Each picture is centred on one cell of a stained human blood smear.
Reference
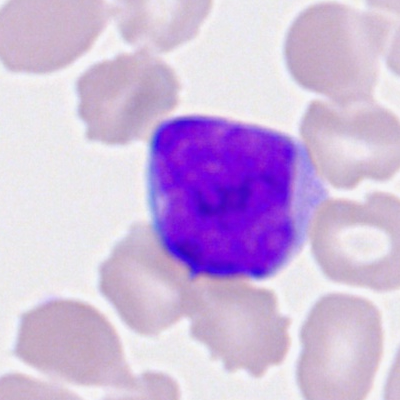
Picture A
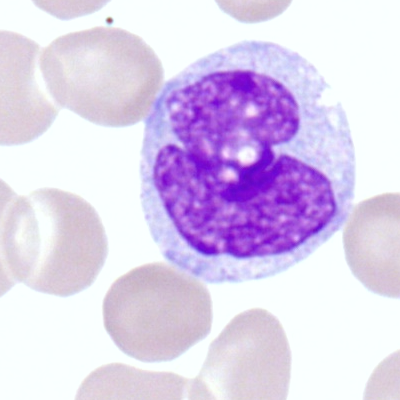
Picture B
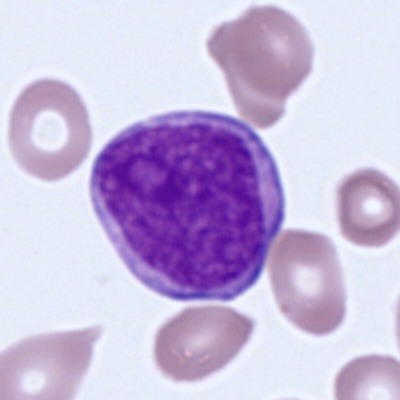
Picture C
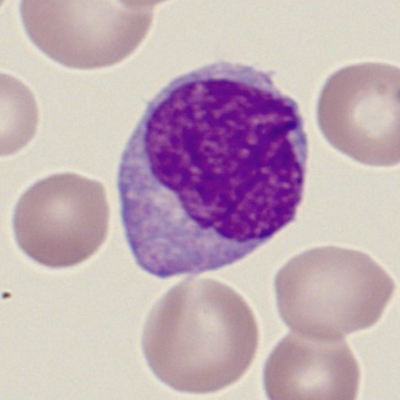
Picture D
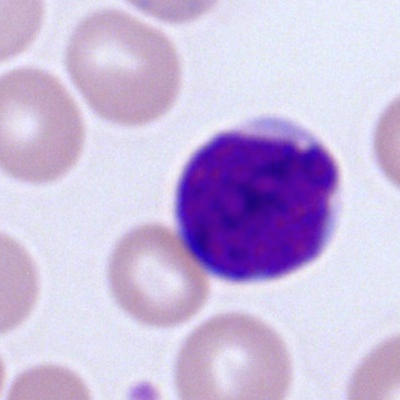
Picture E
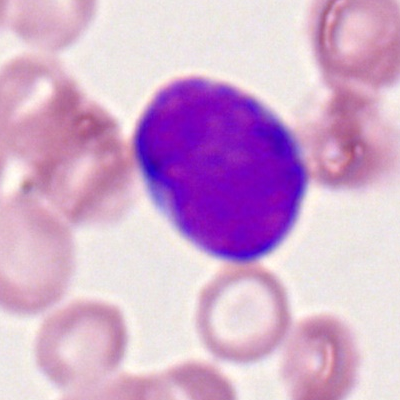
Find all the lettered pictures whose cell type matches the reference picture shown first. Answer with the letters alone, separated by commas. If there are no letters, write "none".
B, D, E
